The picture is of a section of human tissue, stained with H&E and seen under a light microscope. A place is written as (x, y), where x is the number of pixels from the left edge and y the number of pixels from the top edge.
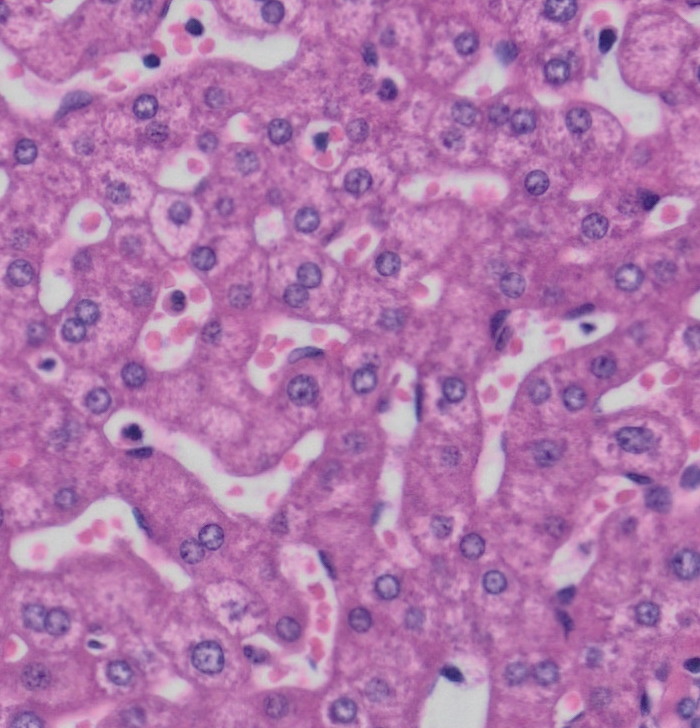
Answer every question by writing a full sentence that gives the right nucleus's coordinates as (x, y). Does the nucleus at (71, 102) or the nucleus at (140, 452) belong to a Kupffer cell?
The one belonging to a Kupffer cell is the nucleus at (71, 102), not the other.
